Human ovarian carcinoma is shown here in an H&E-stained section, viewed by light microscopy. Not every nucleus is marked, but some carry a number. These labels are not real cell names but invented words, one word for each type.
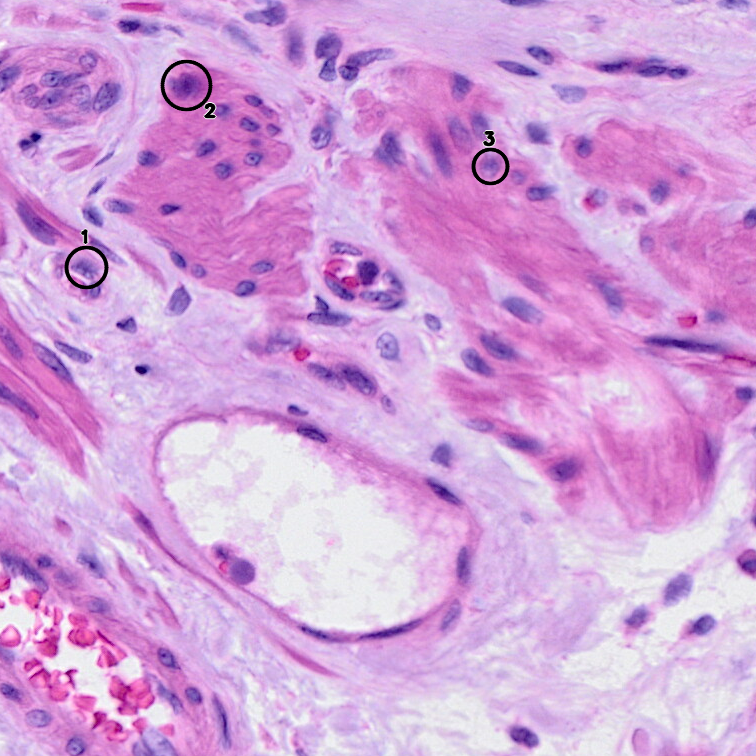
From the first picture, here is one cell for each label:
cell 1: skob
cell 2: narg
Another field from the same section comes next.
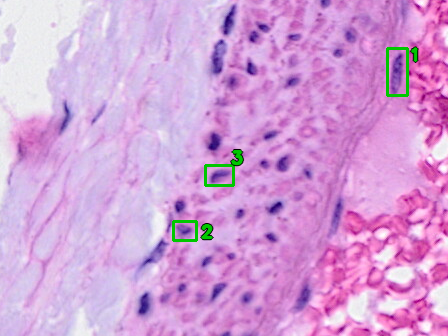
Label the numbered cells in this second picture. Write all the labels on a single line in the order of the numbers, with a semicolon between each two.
skob; narg; narg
